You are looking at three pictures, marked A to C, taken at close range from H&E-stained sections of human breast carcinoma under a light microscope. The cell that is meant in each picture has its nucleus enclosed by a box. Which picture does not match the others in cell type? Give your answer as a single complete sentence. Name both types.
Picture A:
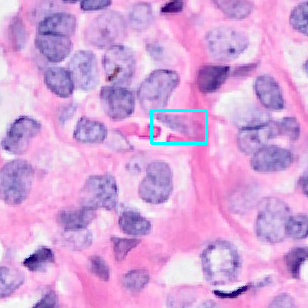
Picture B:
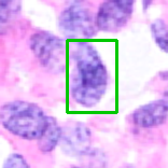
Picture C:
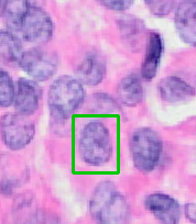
The others show carcinoma cells, but picture A shows an endothelial cell.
